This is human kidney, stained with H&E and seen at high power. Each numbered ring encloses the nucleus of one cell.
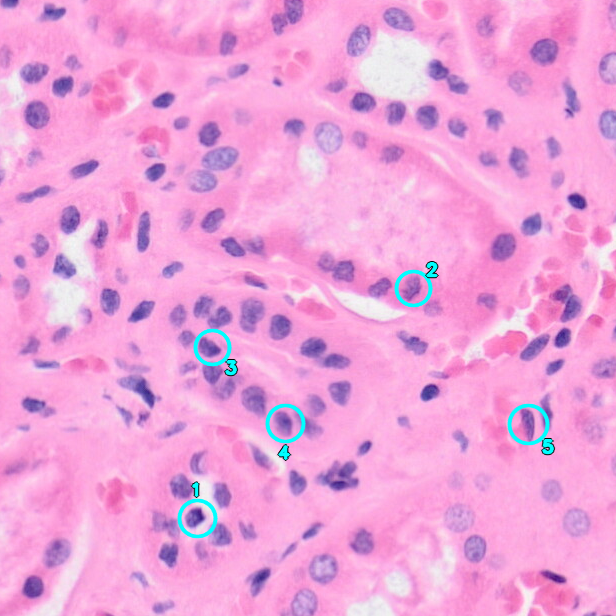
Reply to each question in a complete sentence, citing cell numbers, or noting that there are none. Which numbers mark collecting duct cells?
In terms of cell type, cells 3 and 4 are collecting duct cells.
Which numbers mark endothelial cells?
Of the cells marked with numbers, cell 5 is the only one that is an endothelial cell.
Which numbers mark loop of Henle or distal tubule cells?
Among the cells marked with numbers, the only one that is a loop of Henle or distal tubule cell is number 1.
